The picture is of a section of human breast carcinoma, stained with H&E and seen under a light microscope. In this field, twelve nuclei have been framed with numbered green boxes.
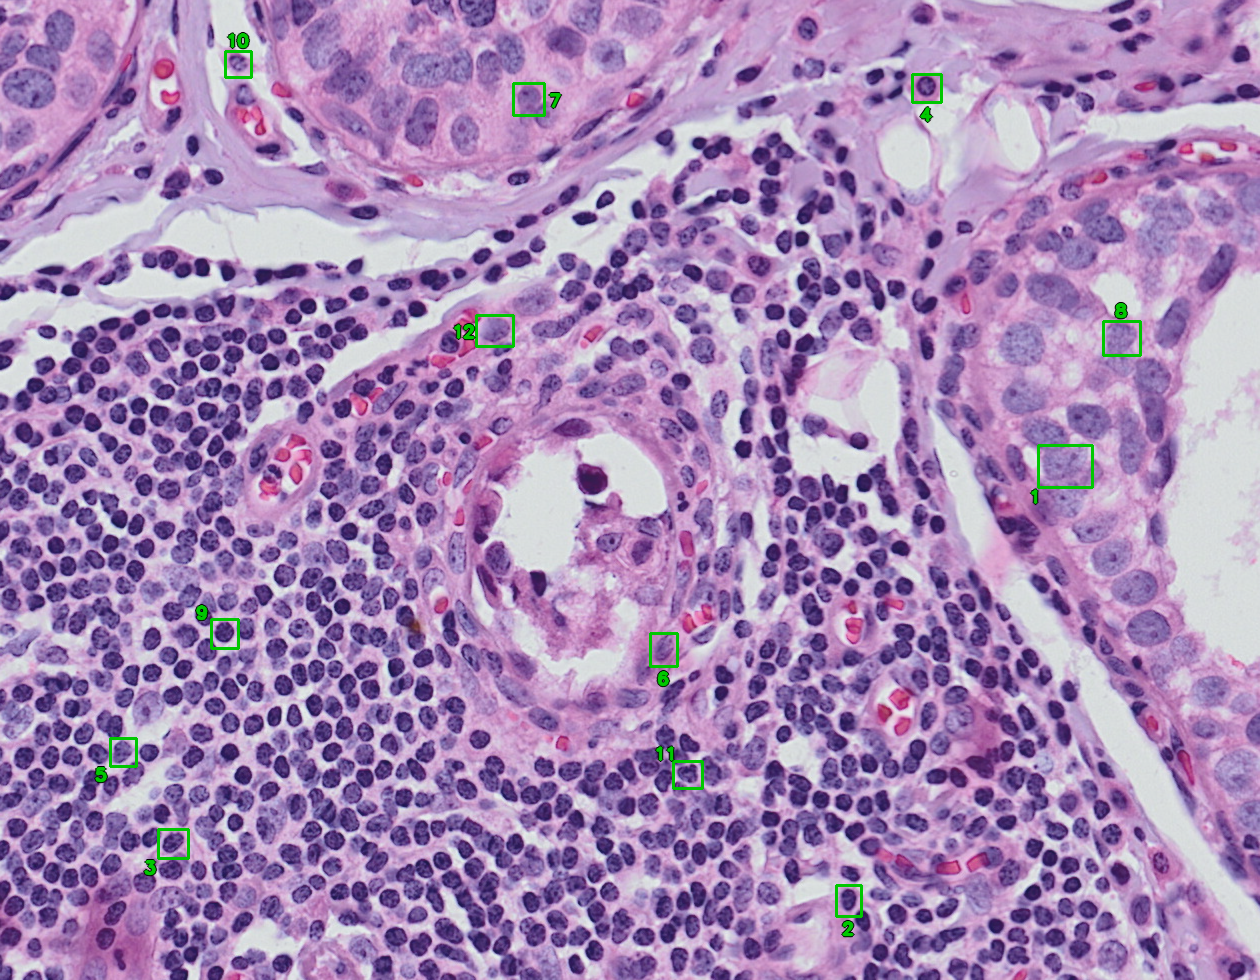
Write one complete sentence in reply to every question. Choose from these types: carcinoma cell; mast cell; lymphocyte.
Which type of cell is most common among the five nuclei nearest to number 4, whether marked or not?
The majority of the five nuclei closest to number 4 belong to lymphocytes.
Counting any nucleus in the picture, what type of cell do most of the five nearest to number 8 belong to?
Around number 8, most of the five nearest nuclei are those of carcinoma cells.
